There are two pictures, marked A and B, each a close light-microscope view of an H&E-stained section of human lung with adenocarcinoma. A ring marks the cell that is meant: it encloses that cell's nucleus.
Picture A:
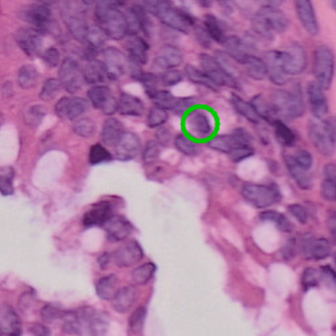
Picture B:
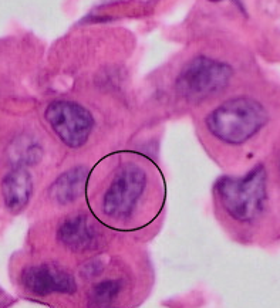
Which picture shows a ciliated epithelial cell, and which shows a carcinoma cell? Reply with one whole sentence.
Picture B shows a carcinoma cell, while picture A shows a ciliated epithelial cell.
